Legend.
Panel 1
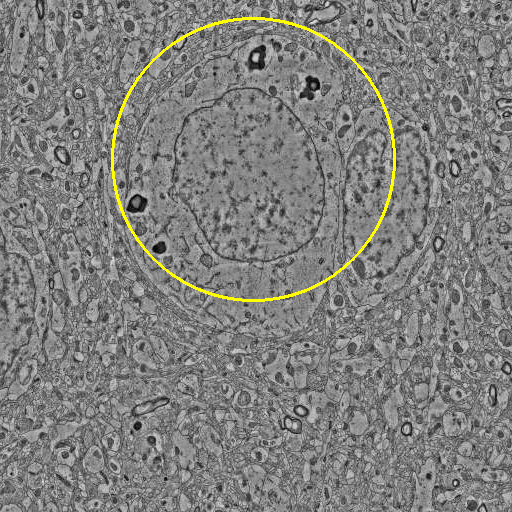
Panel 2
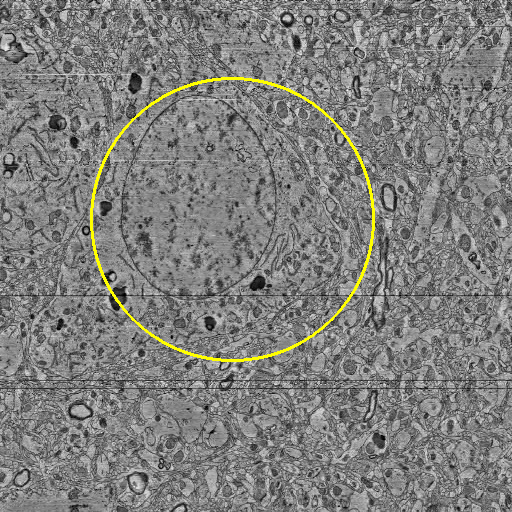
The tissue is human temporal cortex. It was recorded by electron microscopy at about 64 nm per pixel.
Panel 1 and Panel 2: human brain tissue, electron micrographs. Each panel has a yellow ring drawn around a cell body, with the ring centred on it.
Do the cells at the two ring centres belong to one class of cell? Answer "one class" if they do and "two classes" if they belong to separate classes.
one class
